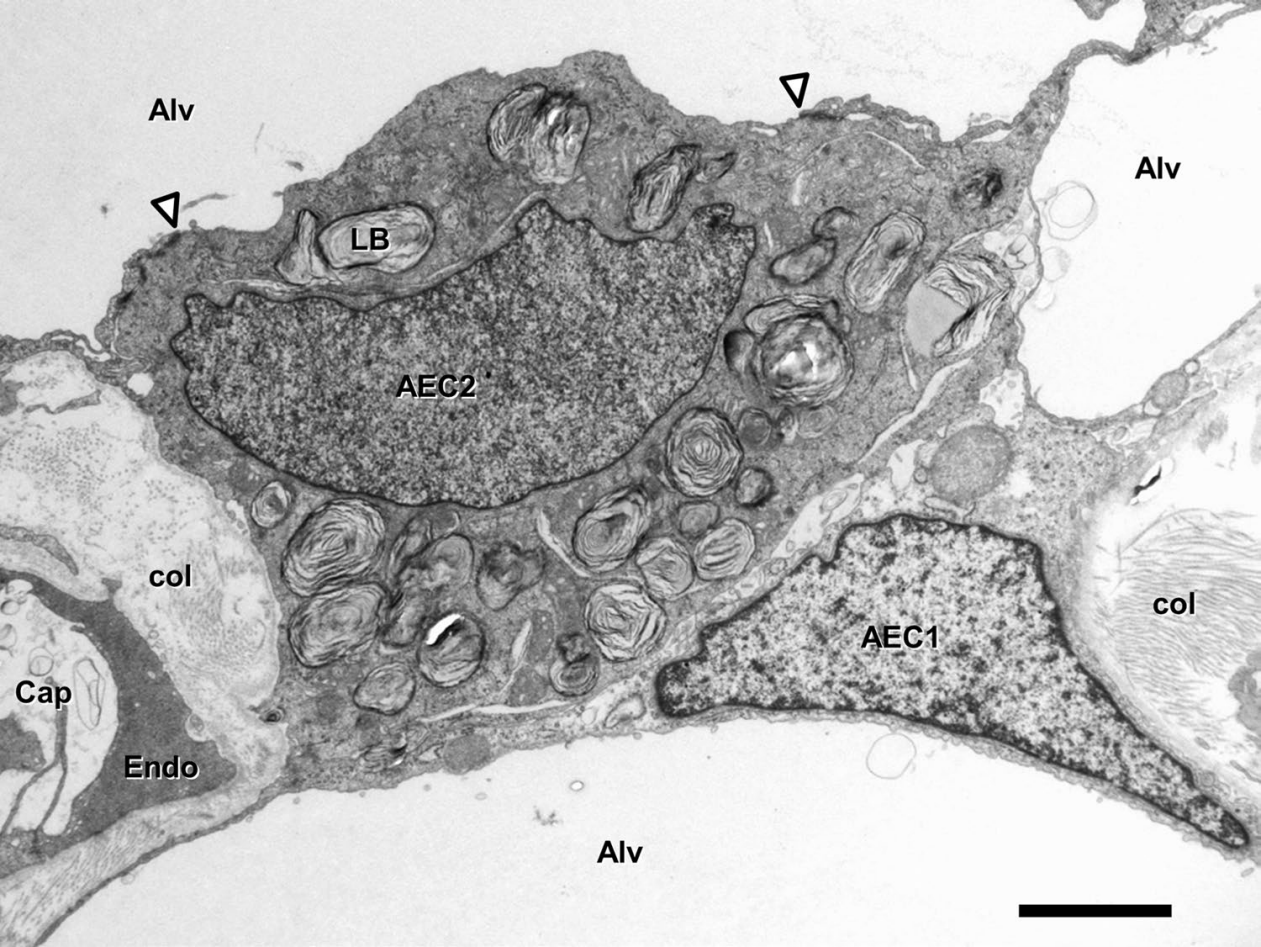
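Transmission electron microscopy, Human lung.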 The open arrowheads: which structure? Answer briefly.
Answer: Tight junctions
